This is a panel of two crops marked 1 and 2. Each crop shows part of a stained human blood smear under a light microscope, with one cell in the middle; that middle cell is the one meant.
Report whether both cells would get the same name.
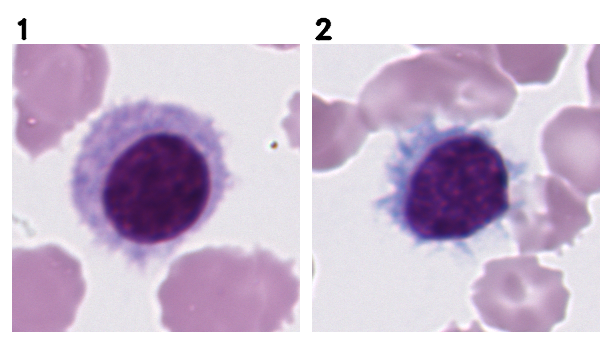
yes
